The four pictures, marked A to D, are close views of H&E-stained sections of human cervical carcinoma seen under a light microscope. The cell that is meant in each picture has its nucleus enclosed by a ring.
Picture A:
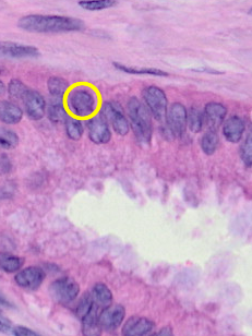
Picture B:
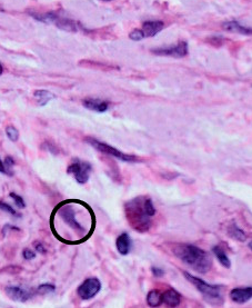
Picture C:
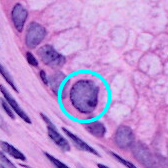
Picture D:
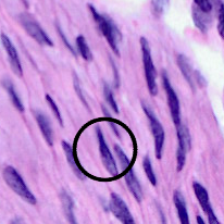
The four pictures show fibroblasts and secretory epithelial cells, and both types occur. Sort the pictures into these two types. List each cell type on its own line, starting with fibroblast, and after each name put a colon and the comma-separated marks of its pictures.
fibroblast: B, D
secretory epithelial cell: A, C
